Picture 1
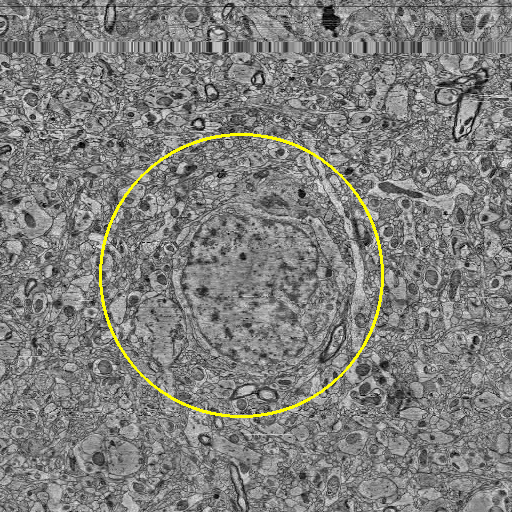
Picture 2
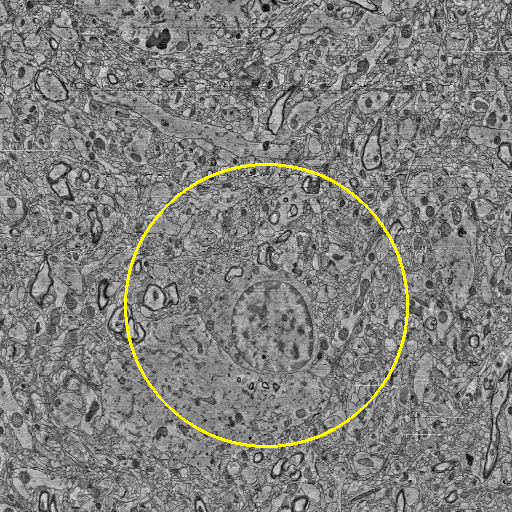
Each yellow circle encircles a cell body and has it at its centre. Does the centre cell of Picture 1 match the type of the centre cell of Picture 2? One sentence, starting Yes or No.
No, the cell centred in Picture 1 and the one in Picture 2 have separate types.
